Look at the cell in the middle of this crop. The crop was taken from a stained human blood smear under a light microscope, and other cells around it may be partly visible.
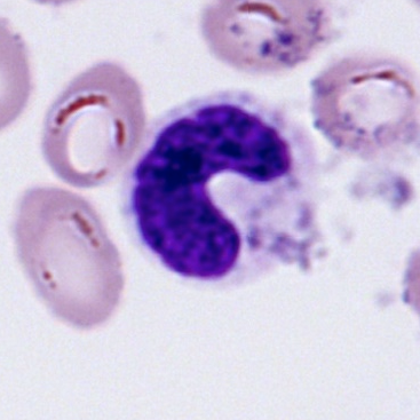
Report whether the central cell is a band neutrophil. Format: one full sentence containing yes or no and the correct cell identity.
Yes, at the centre of the crop lies a band neutrophil.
